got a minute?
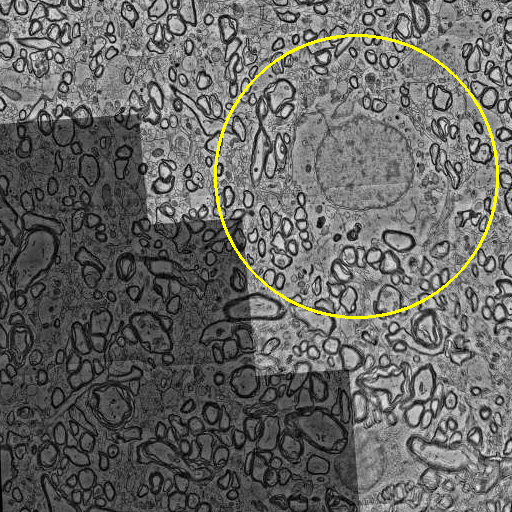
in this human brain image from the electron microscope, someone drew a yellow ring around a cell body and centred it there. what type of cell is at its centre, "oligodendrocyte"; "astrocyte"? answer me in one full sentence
It's an astrocyte at the middle of that yellow ring in the shot.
